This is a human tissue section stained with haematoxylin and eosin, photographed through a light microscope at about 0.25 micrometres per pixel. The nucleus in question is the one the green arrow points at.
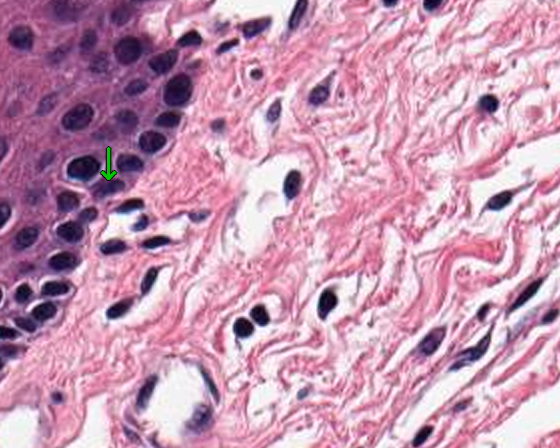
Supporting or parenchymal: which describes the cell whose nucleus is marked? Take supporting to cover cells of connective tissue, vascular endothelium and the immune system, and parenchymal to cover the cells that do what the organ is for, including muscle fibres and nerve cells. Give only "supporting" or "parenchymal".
parenchymal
